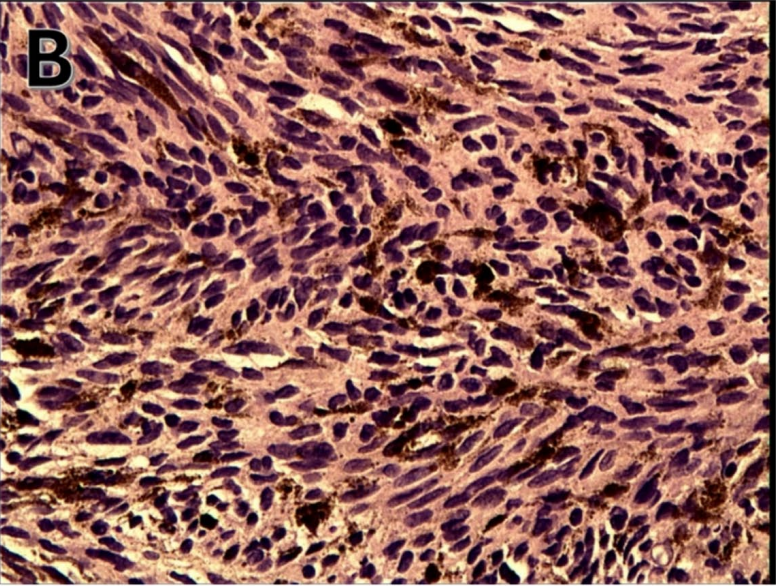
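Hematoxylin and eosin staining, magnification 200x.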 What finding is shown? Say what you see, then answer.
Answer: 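Nuclei vary in size and shape. Many nuclei are dark and hyperchromatic. Nuclei are crowded and irregularly oriented.
Nuclear atypia.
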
